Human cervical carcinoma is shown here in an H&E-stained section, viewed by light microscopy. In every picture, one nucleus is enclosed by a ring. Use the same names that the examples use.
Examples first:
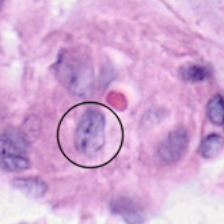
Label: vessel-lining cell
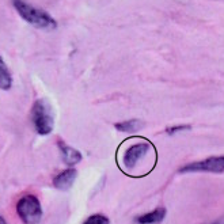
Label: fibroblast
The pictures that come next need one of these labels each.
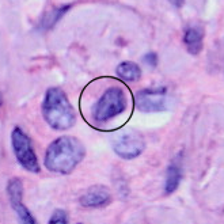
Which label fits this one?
vessel-lining cell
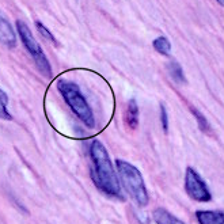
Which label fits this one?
vessel-lining cell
